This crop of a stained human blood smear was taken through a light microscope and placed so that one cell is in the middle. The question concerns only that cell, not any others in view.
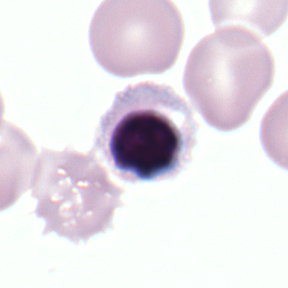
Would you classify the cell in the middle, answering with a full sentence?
In the centre of this crop there is a normoblast.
